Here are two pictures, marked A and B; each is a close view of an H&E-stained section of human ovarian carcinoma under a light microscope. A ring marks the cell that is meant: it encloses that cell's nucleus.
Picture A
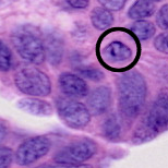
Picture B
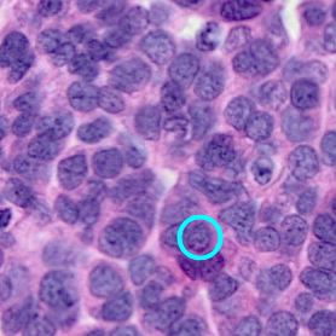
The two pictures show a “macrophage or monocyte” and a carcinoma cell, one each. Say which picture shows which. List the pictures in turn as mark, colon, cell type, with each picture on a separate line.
A: macrophage or monocyte
B: carcinoma cell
